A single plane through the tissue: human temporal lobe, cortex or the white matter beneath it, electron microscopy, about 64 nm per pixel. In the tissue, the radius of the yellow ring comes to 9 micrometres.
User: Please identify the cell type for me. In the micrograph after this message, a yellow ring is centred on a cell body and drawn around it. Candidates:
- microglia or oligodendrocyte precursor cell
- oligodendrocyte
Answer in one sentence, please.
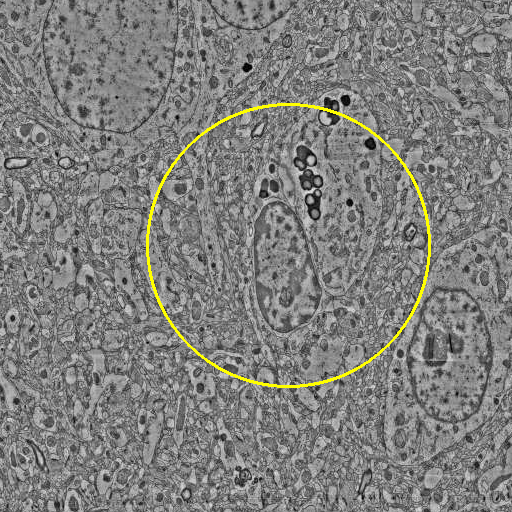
The ring is drawn around the cell body of a microglial cell or oligodendrocyte precursor cell.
